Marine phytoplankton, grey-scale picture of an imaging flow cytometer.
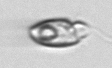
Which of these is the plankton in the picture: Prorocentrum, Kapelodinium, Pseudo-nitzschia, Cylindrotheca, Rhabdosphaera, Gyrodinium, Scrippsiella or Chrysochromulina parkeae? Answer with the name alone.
Kapelodinium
